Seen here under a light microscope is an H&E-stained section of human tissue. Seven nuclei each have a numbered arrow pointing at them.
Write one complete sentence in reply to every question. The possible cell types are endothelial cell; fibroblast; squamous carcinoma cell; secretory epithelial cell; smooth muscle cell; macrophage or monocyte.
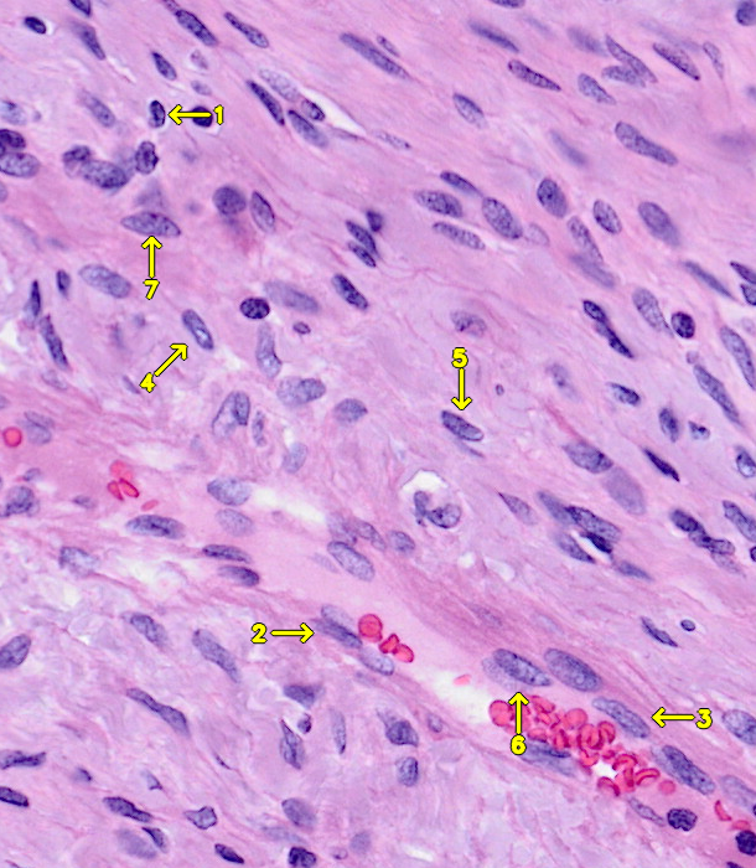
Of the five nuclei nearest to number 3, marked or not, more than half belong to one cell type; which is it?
The majority of the five nuclei closest to number 3 belong to endothelial cells.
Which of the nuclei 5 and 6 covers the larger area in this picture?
The larger nucleus is 6, at roughly 2.5 times the area of 5.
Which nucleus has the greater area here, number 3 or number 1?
Number 3 is larger; its area is about 2.5 times that of number 1.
